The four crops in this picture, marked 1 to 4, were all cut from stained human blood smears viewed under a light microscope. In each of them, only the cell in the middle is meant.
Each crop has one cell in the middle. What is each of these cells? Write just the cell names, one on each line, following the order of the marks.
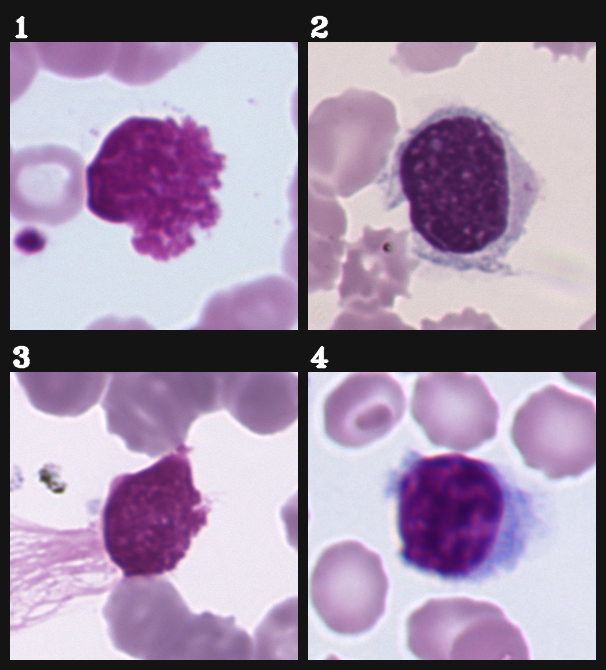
smudge cell
hairy cell
smudge cell
hairy cell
